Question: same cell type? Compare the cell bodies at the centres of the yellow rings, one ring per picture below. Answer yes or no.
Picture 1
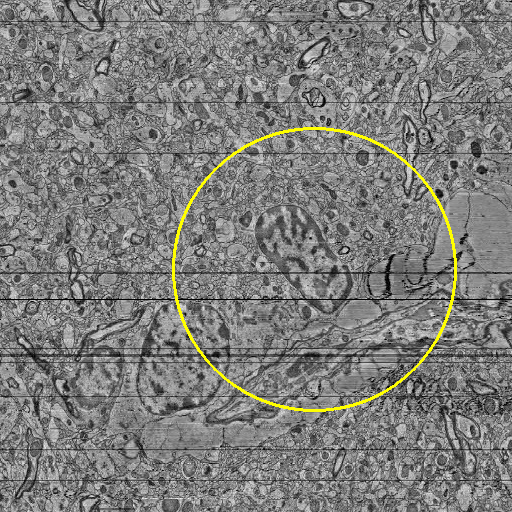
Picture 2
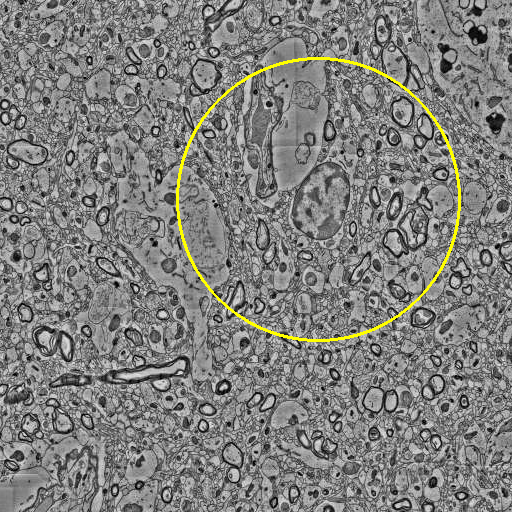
yes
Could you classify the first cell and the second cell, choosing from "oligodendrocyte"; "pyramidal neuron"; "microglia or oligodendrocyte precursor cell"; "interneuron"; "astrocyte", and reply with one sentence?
Both cells are the same kind, each one being a microglial cell or oligodendrocyte precursor cell.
